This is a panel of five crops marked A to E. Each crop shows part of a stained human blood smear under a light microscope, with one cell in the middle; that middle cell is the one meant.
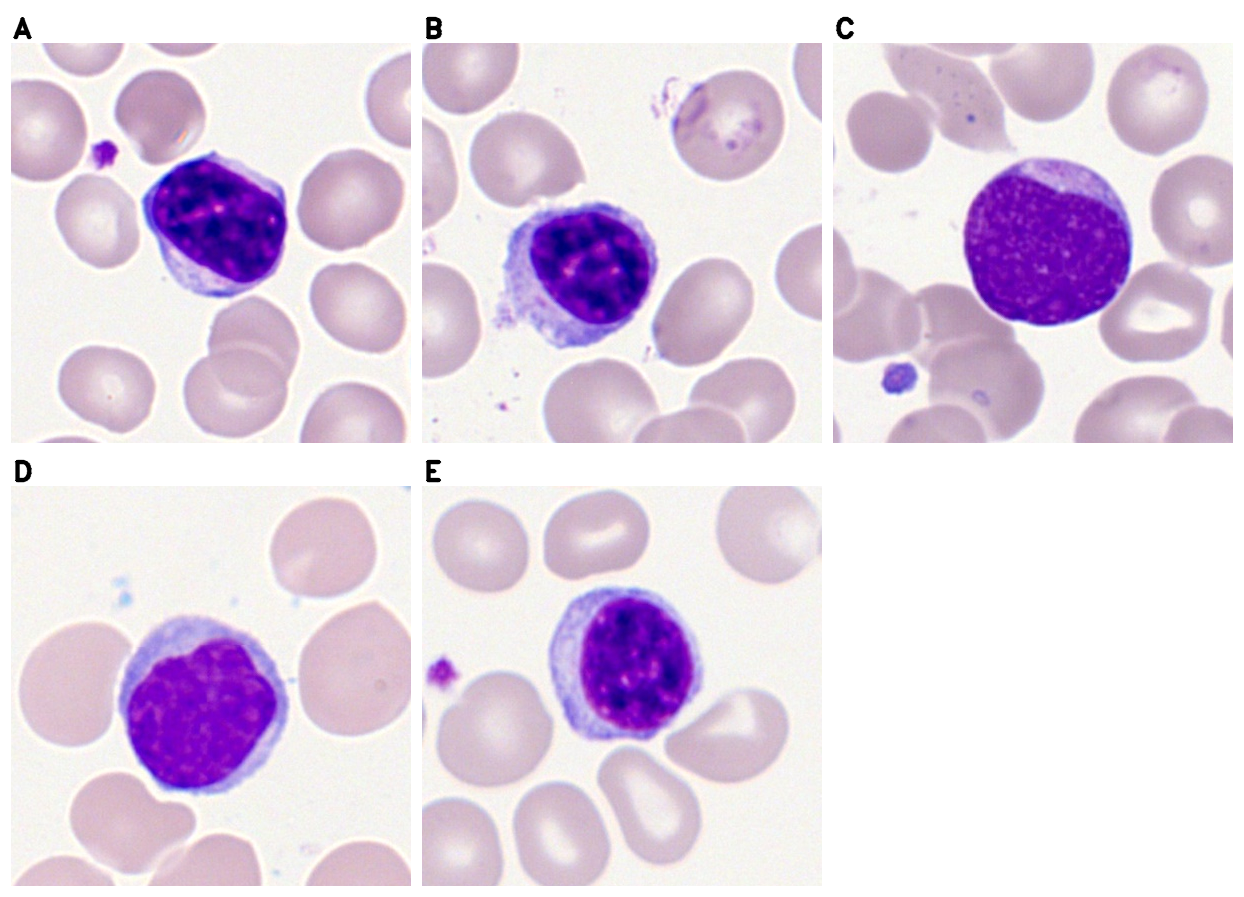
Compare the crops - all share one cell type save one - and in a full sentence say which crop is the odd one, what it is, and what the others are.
Of all the crops, only crop C shows a blast; the others show lymphocytes.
